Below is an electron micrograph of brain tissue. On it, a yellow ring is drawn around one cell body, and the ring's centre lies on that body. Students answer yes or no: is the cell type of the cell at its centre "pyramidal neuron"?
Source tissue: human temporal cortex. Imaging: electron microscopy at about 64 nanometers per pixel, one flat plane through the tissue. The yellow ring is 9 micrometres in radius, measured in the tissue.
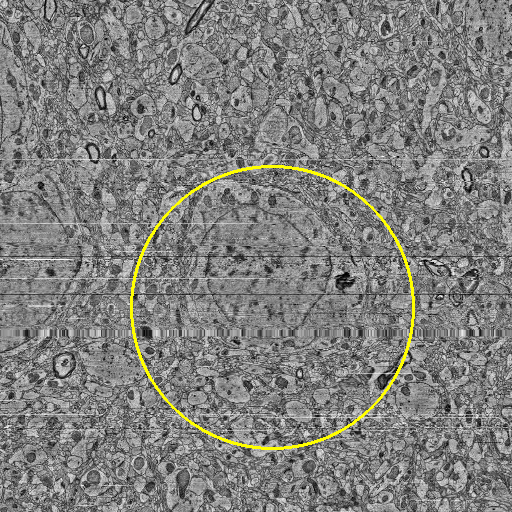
yes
